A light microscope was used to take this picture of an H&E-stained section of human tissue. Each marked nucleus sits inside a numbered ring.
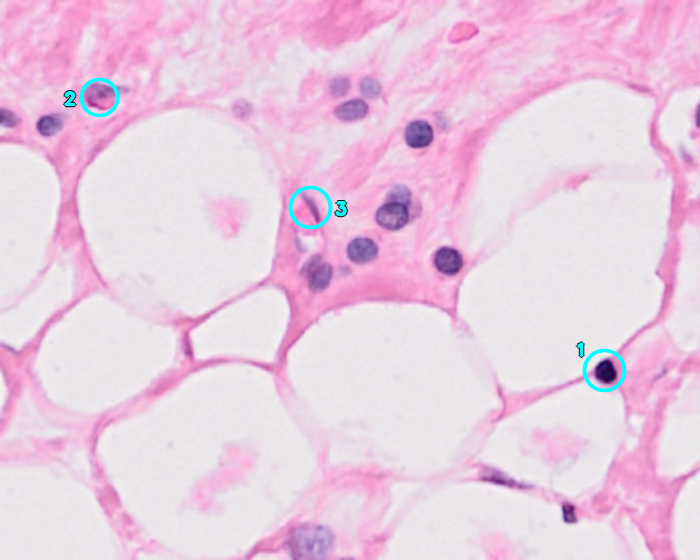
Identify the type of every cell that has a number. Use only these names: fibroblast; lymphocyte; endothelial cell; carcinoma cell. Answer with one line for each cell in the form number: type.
1: lymphocyte
2: endothelial cell
3: endothelial cell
